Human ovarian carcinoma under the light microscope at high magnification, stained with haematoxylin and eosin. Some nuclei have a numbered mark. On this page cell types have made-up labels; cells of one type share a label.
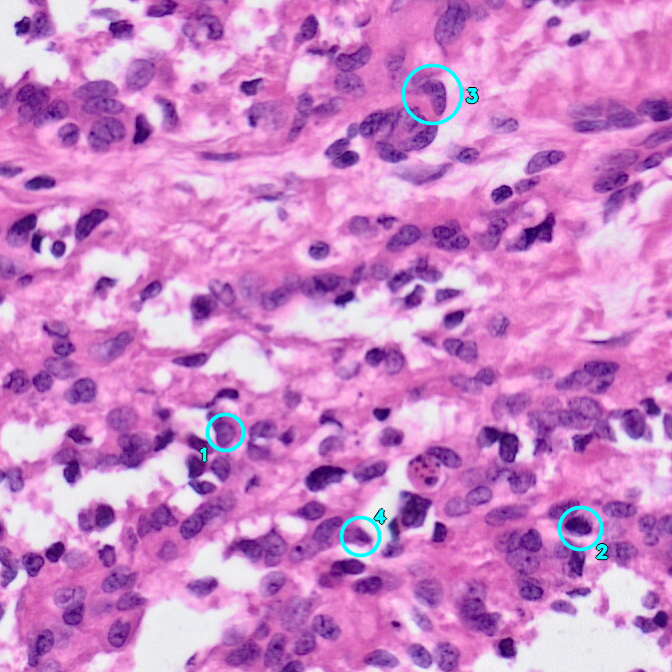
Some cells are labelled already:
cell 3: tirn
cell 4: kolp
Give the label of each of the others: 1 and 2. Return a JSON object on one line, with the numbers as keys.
{"1": "kolp", "2": "kolp"}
